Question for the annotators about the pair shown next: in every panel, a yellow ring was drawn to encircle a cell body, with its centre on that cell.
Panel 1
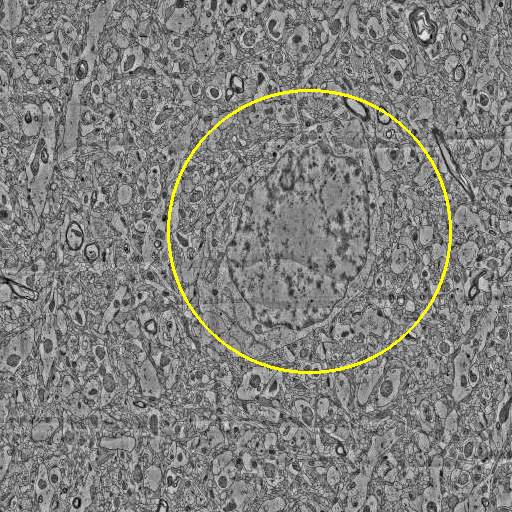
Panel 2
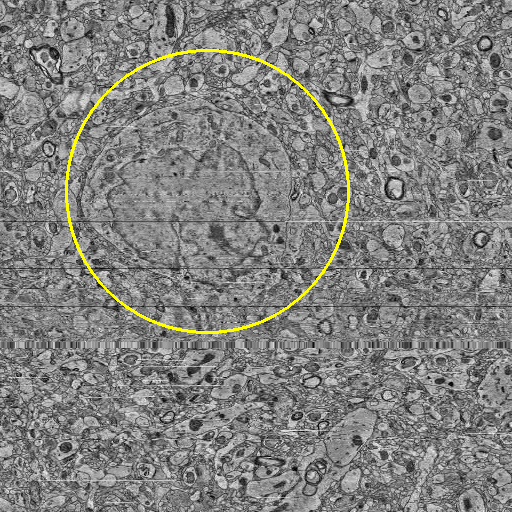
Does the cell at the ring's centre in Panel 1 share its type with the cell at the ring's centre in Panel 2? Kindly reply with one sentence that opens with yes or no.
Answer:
Yes, in Panels 1 and 2 the cells at the ring centres belong to a single type.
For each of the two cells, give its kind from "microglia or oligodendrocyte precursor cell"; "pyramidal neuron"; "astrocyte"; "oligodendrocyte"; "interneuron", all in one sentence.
Both cells are the same kind, each one being an interneuron.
